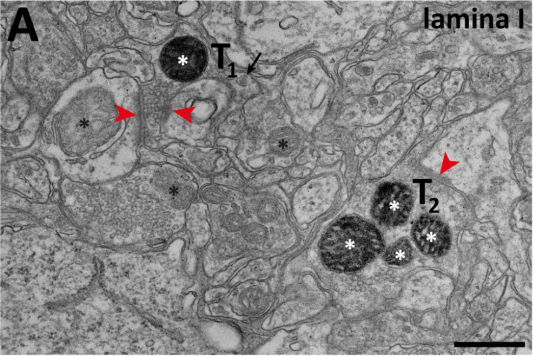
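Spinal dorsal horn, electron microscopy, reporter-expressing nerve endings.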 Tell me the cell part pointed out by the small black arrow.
Dense core vesicle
